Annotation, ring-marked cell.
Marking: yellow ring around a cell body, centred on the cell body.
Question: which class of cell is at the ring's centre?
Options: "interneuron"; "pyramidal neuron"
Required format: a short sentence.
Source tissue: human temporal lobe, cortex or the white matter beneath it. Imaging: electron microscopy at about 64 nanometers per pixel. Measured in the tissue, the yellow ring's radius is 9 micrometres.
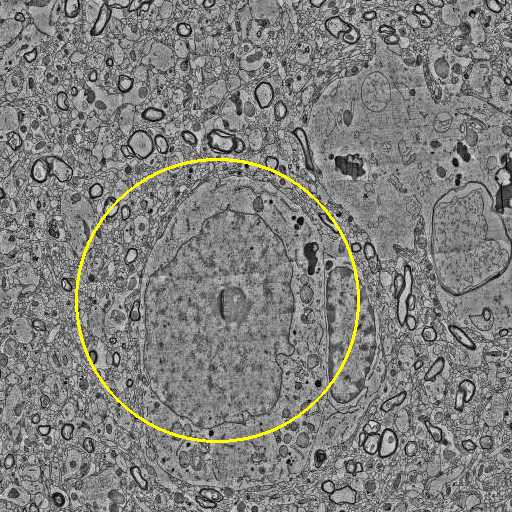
At the ring's centre is a pyramidal neuron.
